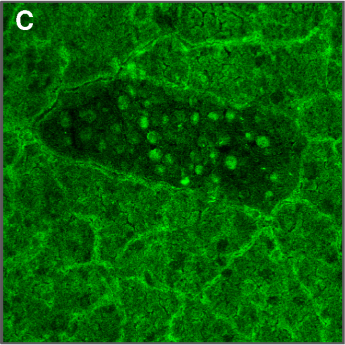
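This is a section of pancreas in green fluorescence, with glandular tissue filling the field. The surrounding tissue is made of closely packed units outlined by bright green borders and filled with granular green. Near the centre lies a large, oval, sharply bounded region that is darker than its surroundings. Within this dark region sit many small, round, bright green dots.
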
